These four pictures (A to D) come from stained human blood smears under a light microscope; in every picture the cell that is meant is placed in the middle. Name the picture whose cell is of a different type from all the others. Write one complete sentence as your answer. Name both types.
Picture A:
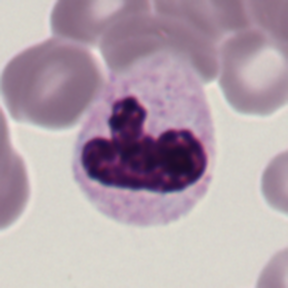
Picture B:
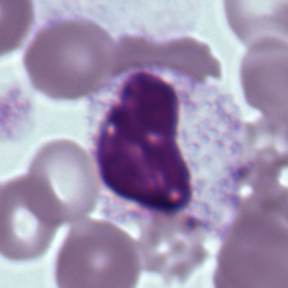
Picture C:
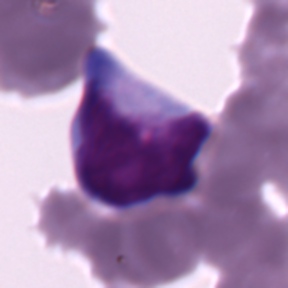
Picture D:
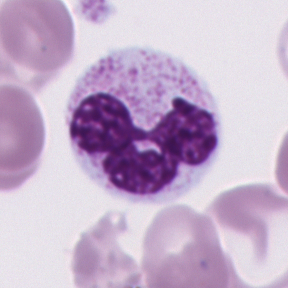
Picture C differs, because its cell is a myeloblast and the rest are segmented neutrophils.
